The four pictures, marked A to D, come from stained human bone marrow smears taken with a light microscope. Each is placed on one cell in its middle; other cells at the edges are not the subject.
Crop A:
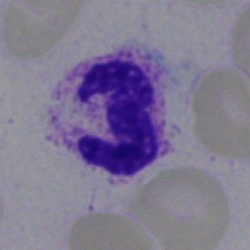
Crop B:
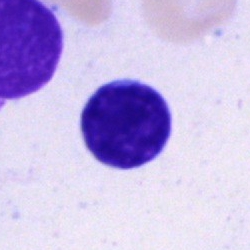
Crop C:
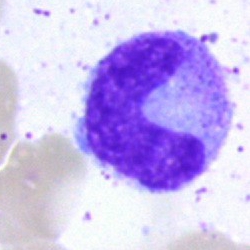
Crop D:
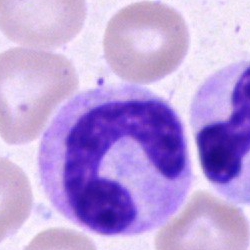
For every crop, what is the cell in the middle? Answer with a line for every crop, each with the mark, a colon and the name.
A: segmented neutrophil
B: lymphocyte
C: band neutrophil
D: band neutrophil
